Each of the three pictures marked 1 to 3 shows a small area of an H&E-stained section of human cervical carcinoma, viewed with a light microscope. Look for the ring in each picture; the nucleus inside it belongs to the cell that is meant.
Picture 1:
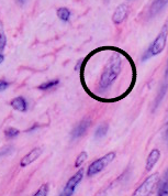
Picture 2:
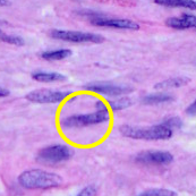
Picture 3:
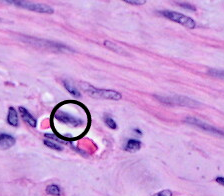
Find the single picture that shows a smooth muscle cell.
1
